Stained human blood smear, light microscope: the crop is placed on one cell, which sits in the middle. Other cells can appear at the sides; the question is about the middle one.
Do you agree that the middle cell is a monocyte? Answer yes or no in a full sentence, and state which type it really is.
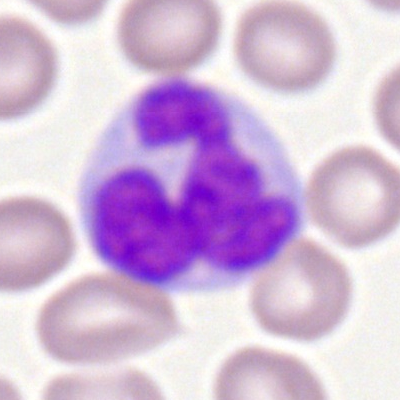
Yes, the cell in the middle is recognised as a monocyte.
